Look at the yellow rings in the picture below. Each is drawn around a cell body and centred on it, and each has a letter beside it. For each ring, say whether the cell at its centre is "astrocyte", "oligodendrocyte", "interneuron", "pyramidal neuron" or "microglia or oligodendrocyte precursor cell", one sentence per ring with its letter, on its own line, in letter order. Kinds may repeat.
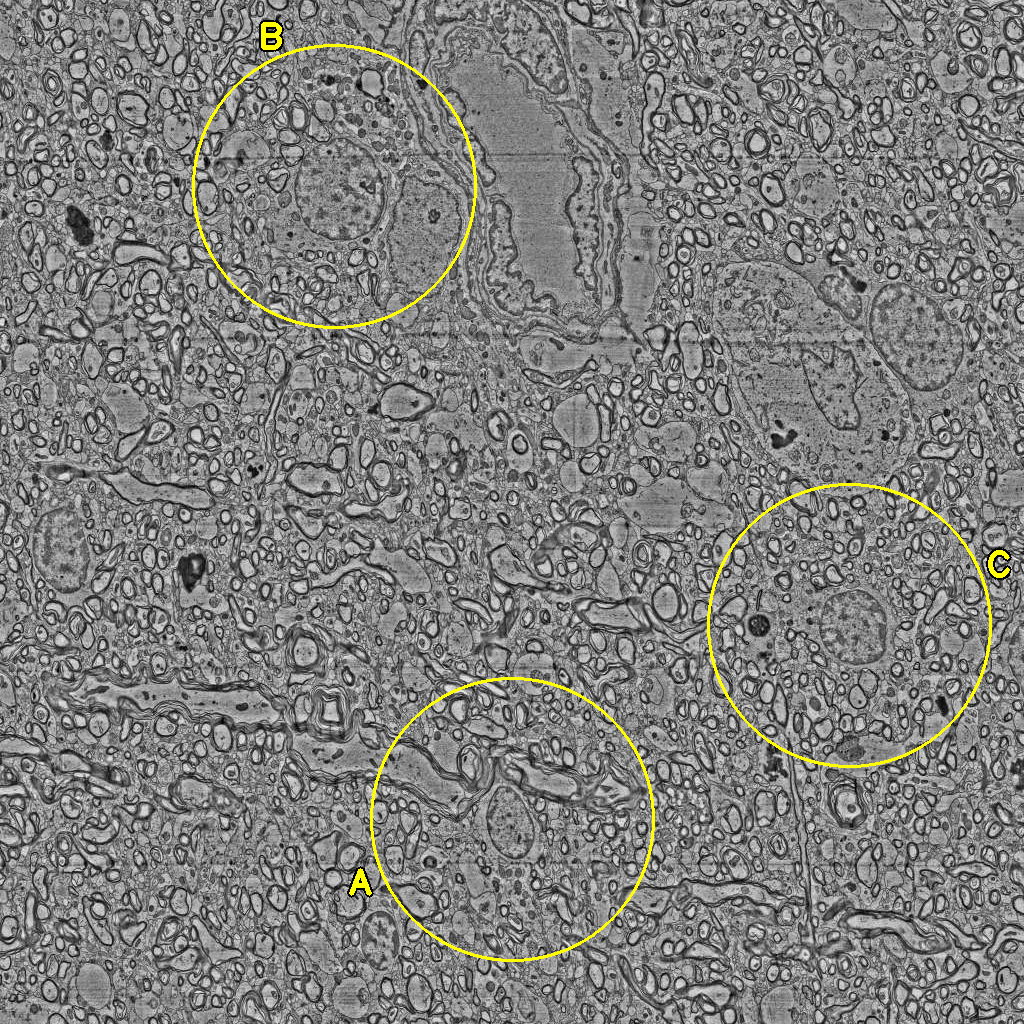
The centred cell of ring A is a microglial cell or oligodendrocyte precursor cell.
The centred cell of ring B is an oligodendrocyte.
The centred cell of ring C is an oligodendrocyte.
